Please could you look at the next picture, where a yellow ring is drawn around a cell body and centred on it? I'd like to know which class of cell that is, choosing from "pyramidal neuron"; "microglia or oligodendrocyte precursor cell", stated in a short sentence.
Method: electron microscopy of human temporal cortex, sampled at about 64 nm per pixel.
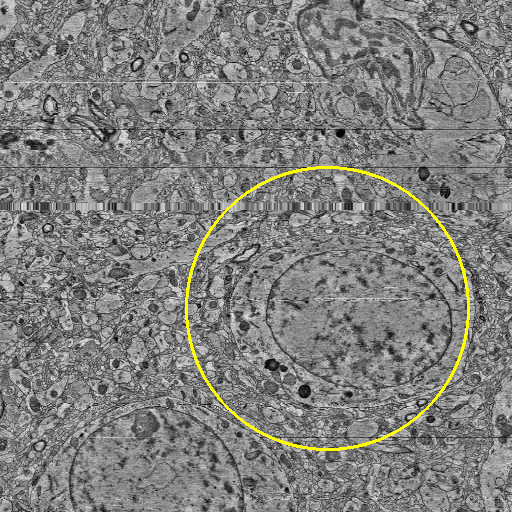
The ring's centre lies on a pyramidal neuron.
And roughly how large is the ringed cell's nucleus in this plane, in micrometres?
About 12 by 9 micrometers, in this plane.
